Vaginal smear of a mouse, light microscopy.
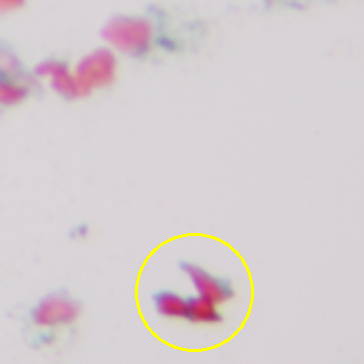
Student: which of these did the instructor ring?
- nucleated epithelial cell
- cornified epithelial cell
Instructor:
The cell I ringed is a cornified epithelial cell.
